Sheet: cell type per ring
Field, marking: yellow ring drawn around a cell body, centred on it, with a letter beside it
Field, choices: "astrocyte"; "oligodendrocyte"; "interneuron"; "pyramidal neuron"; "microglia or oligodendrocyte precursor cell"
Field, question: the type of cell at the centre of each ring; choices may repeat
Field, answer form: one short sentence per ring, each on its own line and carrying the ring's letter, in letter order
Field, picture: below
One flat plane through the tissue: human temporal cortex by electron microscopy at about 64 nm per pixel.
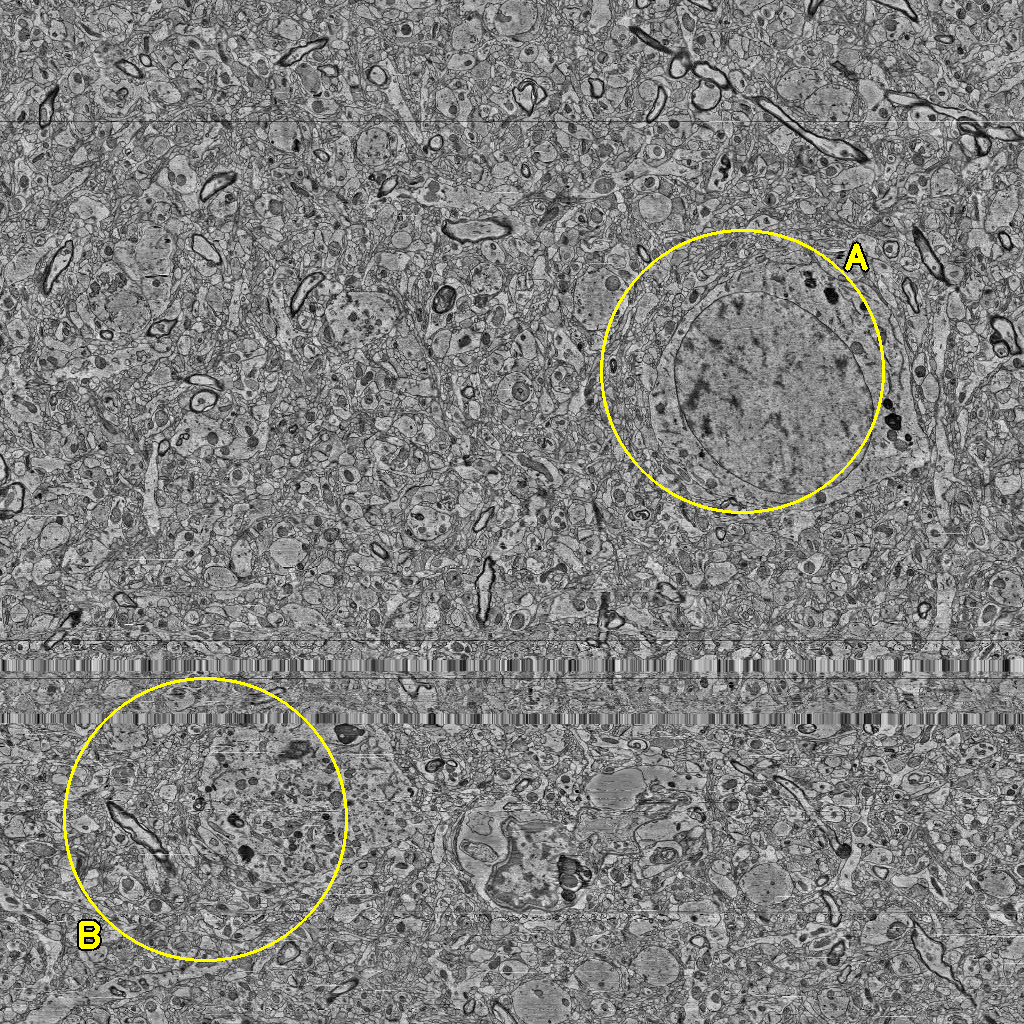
The cell body inside ring A, at its centre, is a pyramidal neuron.
The cell body inside ring B, at its centre, is an interneuron.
